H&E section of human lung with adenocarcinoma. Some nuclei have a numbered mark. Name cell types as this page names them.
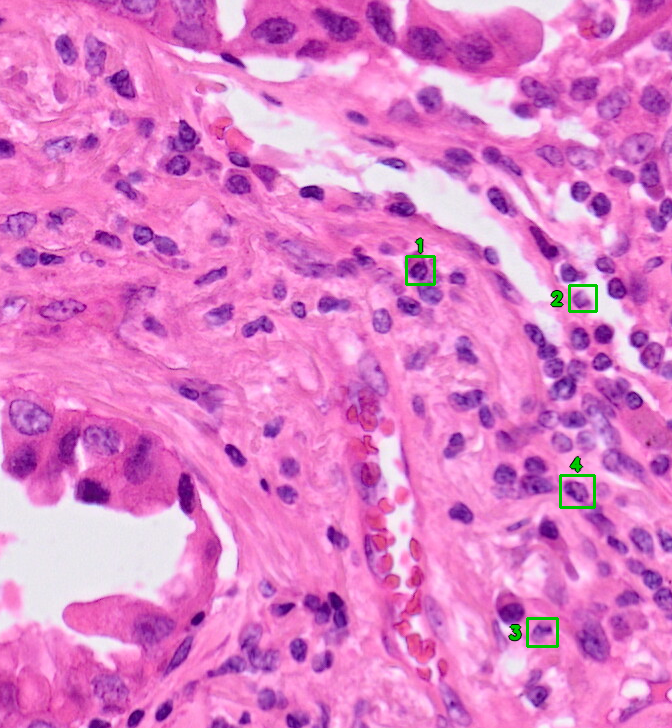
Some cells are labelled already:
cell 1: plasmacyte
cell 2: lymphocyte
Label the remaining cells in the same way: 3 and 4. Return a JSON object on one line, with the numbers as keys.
{"3": "lymphocyte", "4": "lymphocyte"}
